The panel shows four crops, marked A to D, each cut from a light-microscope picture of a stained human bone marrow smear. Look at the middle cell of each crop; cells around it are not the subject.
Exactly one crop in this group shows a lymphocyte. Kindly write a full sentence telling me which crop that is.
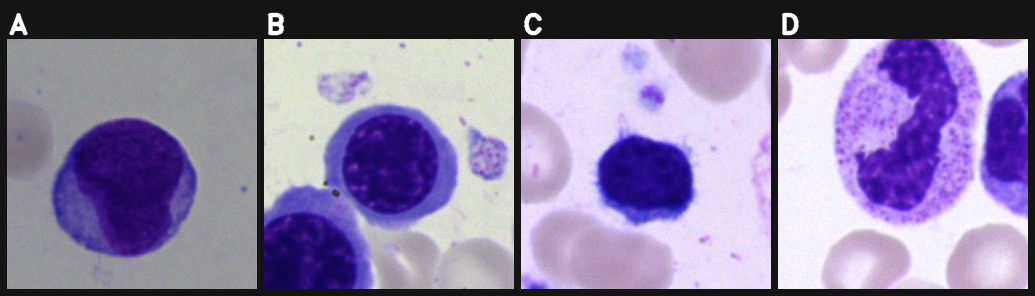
It is in crop C that a lymphocyte is shown.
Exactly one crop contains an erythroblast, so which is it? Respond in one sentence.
The requested cell, an erythroblast, is the one in crop B.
